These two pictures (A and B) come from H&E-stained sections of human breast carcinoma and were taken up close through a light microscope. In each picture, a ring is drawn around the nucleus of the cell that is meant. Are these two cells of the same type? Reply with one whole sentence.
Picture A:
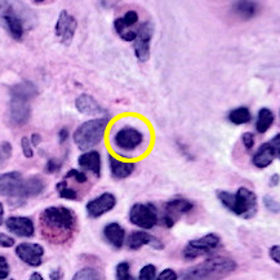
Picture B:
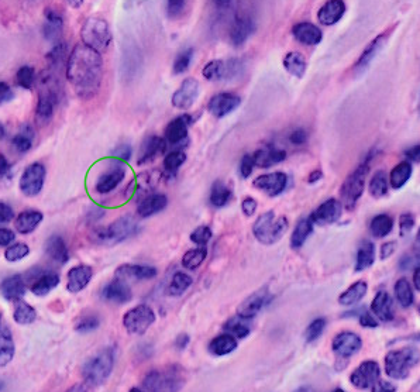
Yes, both cells are lymphocytes.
